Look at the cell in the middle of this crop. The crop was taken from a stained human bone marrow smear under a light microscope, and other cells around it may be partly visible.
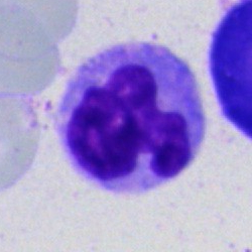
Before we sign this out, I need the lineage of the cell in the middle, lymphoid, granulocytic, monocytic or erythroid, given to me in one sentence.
To the monocytic lineage belongs the cell in the middle of the crop.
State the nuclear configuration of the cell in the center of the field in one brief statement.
Multiple nuclear lobes, two or more, can be counted in this cell.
